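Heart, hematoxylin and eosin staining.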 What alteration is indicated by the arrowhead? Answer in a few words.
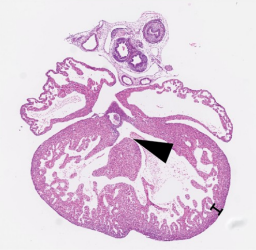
membranous ventricular septal defect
